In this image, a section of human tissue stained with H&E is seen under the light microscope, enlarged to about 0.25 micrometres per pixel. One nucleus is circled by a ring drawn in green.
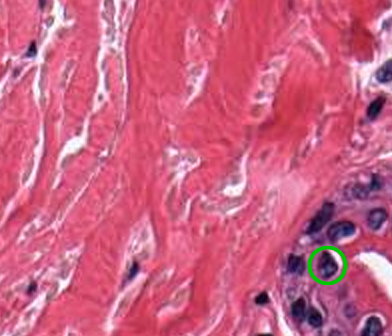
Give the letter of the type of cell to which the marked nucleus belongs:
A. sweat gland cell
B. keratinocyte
A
